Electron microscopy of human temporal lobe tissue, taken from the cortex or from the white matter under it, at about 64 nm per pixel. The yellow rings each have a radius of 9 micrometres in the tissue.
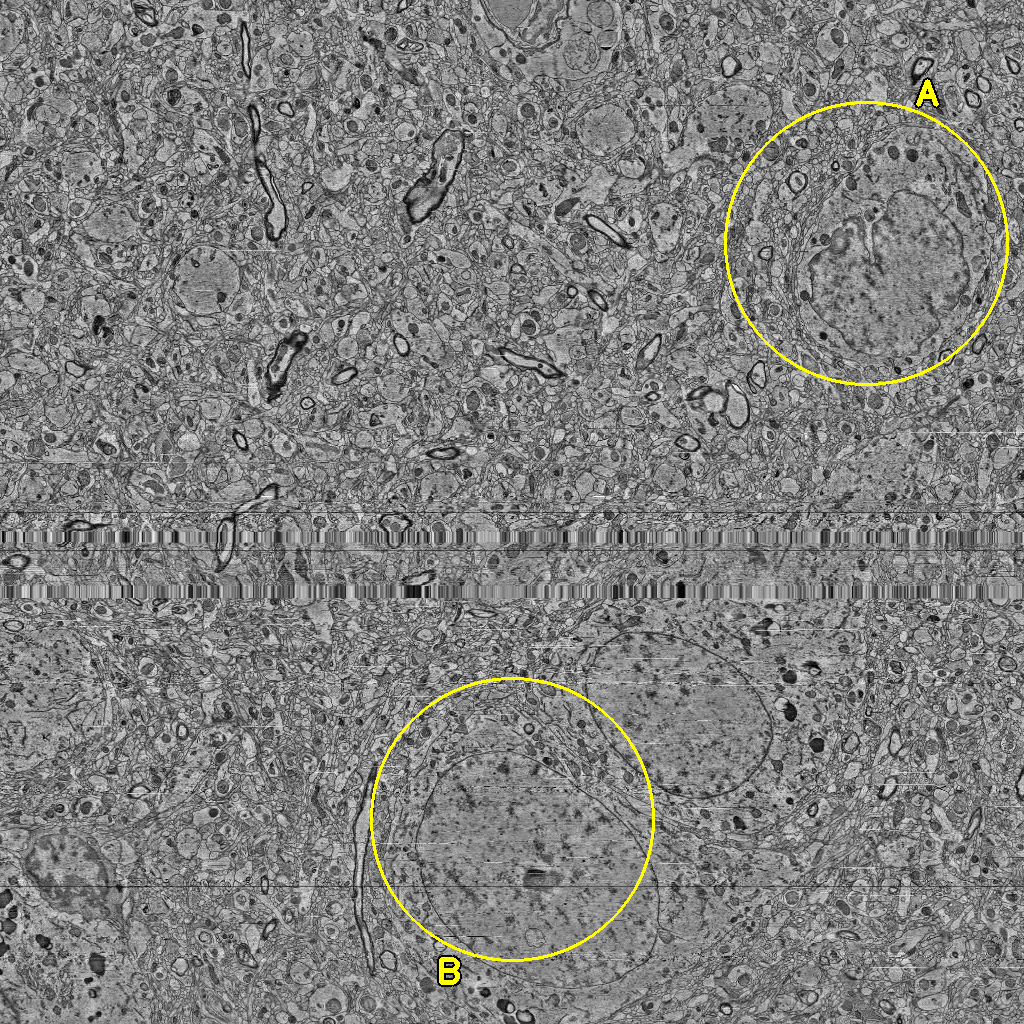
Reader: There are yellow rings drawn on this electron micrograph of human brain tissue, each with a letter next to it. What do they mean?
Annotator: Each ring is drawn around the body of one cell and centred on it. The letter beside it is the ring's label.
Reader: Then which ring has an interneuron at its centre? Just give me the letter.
A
